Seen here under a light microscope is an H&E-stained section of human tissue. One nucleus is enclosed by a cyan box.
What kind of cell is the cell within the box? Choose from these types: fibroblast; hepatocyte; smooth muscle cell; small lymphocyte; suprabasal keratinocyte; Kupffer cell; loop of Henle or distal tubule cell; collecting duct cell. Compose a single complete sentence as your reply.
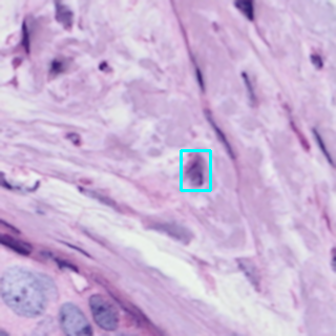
On this particular slide, the cell within the box is a fibroblast.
